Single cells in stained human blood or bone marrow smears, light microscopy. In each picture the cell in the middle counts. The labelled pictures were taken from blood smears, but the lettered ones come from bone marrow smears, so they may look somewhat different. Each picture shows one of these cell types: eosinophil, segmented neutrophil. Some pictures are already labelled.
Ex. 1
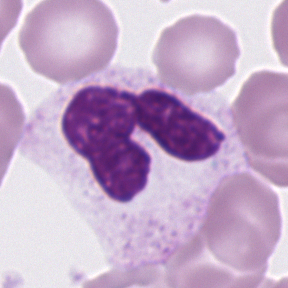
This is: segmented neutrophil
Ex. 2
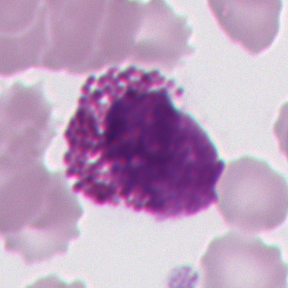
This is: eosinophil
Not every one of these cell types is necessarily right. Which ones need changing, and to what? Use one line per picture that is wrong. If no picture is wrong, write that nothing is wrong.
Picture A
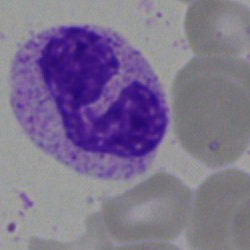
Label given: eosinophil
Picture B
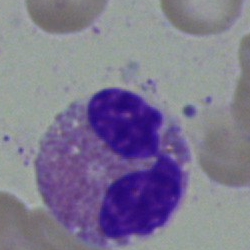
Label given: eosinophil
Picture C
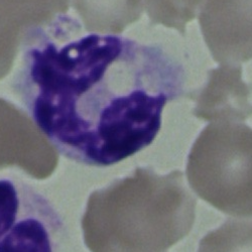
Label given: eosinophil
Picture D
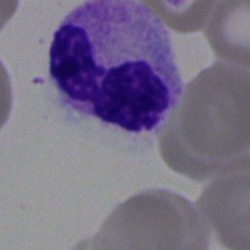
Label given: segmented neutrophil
A: not eosinophil but segmented neutrophil
C: not eosinophil but segmented neutrophil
